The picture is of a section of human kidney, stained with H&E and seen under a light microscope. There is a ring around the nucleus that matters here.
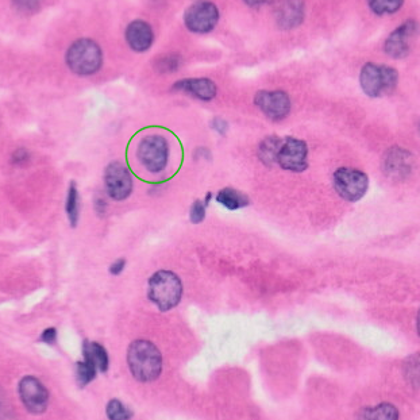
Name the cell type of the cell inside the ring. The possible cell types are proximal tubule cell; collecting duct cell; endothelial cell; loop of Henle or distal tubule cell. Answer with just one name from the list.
collecting duct cell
